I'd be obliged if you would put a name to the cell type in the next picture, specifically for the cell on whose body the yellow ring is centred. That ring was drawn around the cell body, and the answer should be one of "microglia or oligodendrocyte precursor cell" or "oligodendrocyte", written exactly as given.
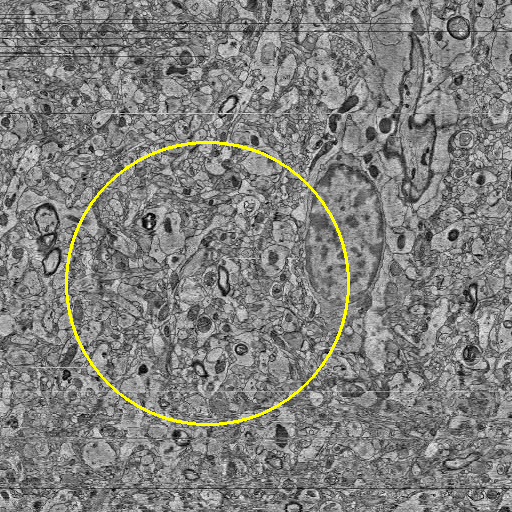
microglia or oligodendrocyte precursor cell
